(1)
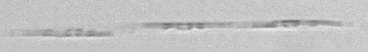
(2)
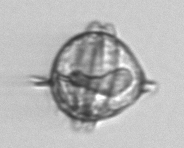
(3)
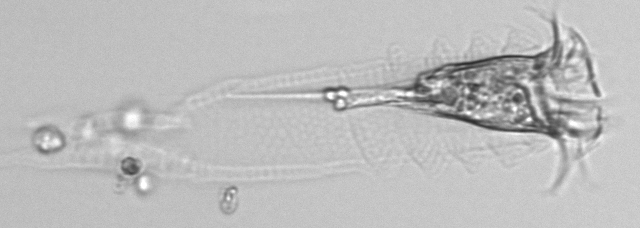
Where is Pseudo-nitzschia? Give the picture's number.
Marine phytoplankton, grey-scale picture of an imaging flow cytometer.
1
